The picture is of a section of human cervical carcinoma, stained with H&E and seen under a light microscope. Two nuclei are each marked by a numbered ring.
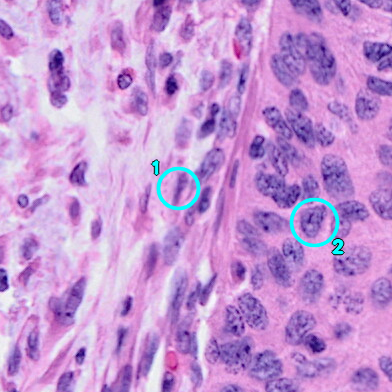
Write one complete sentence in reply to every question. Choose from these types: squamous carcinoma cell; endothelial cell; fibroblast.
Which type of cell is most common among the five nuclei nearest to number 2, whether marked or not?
Most of the five nuclei nearest to number 2 are those of squamous carcinoma cells.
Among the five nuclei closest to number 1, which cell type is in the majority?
The majority of the five nuclei closest to number 1 belong to endothelial cells.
